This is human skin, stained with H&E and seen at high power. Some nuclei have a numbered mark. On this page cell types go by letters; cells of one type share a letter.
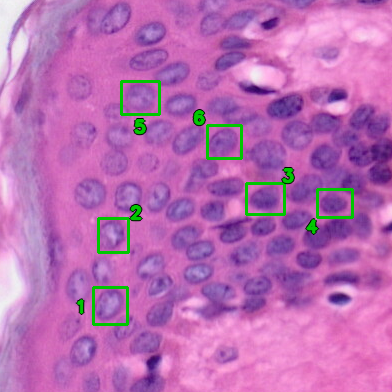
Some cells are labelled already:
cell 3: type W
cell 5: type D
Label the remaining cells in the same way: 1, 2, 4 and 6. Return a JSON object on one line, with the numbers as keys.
{"1": "type D", "2": "type D", "4": "type W", "6": "type D"}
